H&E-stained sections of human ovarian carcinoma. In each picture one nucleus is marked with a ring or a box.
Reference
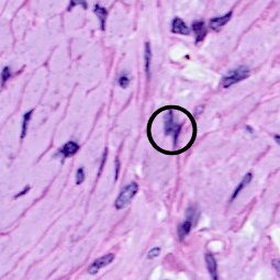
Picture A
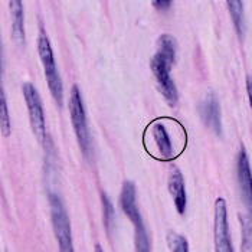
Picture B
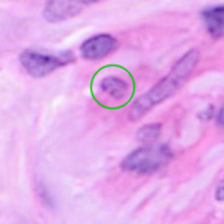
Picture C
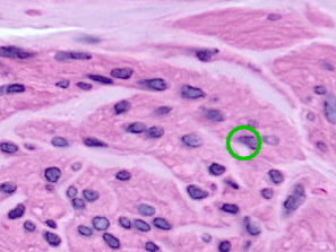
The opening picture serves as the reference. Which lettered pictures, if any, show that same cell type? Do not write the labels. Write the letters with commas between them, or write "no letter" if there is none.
no letter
